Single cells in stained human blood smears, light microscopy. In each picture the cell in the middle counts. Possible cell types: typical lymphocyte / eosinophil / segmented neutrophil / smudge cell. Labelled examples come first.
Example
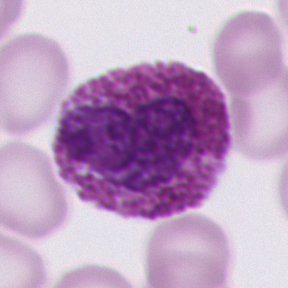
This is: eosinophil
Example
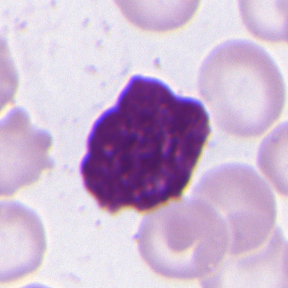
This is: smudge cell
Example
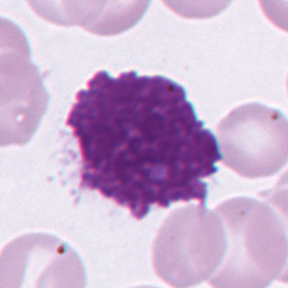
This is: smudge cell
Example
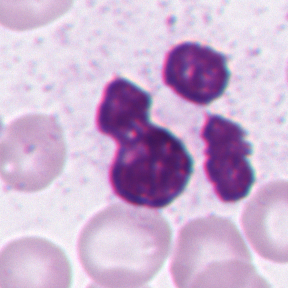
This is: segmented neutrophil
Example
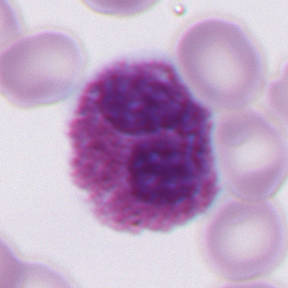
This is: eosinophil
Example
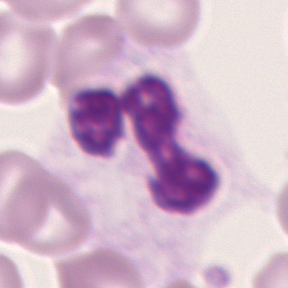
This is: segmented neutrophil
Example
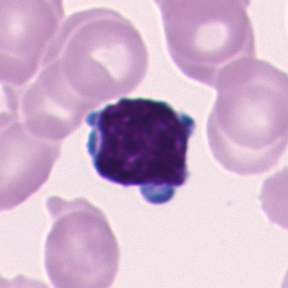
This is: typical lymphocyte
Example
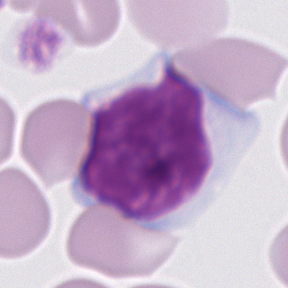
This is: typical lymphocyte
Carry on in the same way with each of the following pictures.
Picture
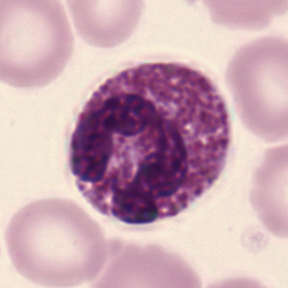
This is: eosinophil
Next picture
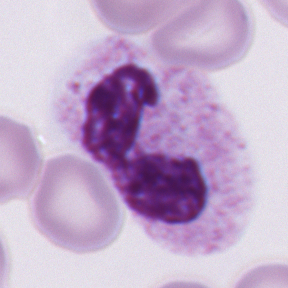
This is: segmented neutrophil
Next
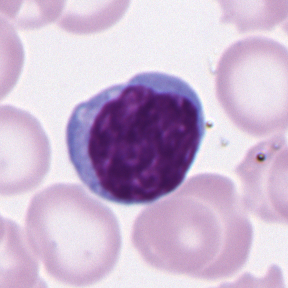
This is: typical lymphocyte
